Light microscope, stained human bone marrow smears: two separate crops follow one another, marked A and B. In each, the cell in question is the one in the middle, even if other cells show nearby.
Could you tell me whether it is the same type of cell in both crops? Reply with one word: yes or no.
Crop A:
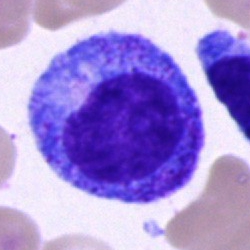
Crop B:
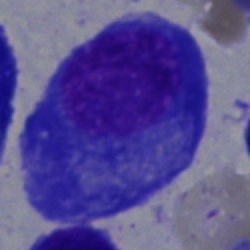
no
